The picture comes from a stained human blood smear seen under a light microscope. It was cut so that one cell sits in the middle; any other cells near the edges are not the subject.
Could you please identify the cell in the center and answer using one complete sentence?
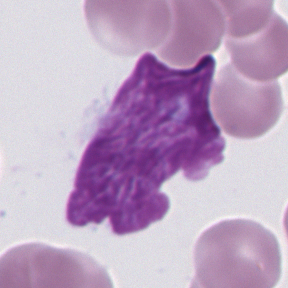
The target cell in the middle of the crop is a smudge cell.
